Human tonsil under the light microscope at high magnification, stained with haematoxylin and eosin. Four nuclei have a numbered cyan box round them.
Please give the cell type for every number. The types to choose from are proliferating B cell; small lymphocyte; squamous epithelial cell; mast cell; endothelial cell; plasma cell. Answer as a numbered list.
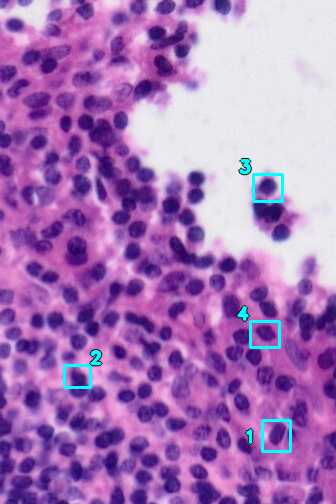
1. plasma cell
2. small lymphocyte
3. small lymphocyte
4. plasma cell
